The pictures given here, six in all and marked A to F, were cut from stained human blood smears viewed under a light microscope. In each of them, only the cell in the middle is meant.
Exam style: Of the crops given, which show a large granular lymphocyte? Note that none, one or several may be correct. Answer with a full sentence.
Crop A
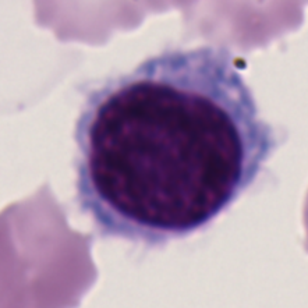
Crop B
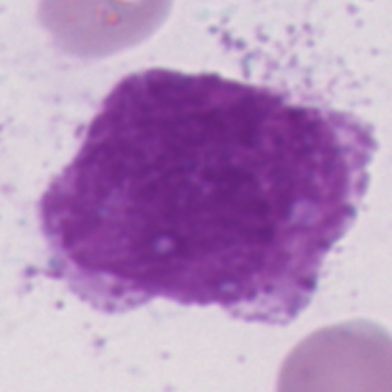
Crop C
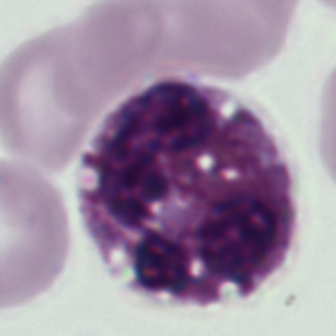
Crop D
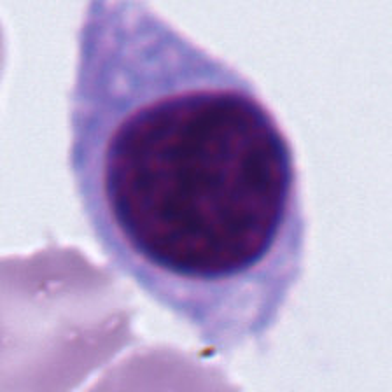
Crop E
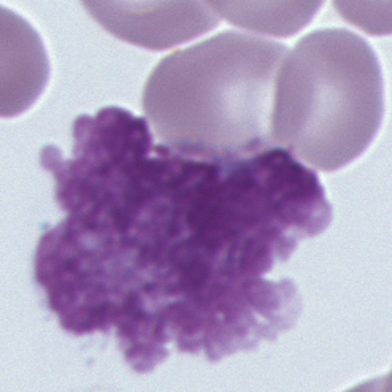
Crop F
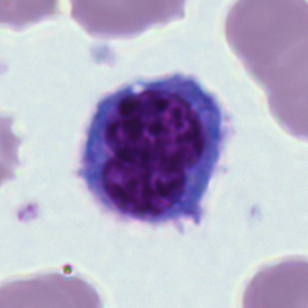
The crops contain no instance of a large granular lymphocyte at their centres.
